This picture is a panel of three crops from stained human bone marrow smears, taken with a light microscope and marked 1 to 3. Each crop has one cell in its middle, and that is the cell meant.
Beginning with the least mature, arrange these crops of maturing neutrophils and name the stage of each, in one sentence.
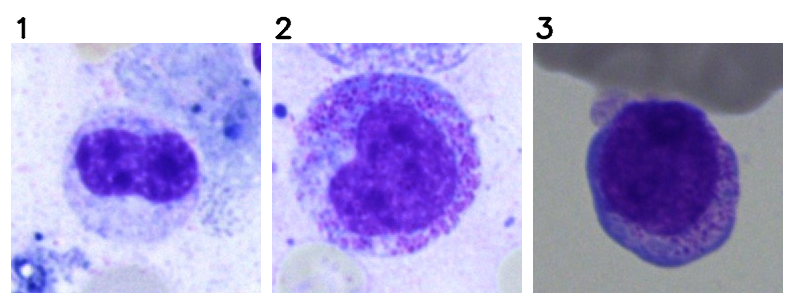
The least to most mature sequence reads crop 3 (a promyelocyte), crop 2 (a metamyelocyte) and crop 1 (a band neutrophil).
